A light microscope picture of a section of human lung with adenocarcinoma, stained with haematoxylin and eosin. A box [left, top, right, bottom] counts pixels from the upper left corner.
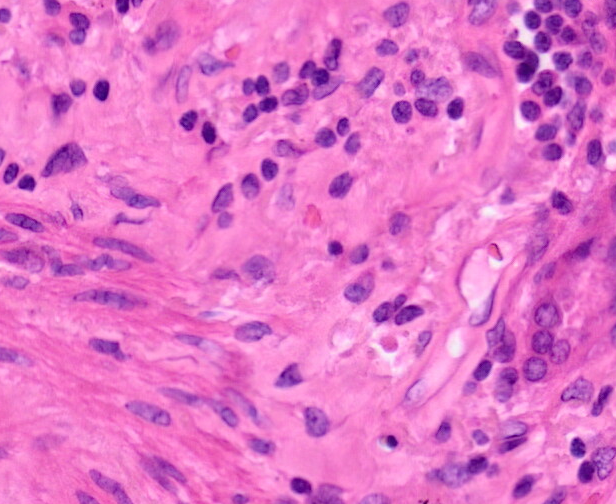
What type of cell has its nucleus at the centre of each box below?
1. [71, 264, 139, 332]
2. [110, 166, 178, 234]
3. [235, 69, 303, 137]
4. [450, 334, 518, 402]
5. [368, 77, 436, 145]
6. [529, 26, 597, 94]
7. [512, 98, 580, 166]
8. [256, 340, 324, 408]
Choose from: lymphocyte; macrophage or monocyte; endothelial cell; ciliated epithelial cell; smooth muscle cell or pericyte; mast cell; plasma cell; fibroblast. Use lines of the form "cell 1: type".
cell 1: smooth muscle cell or pericyte
cell 2: smooth muscle cell or pericyte
cell 3: lymphocyte
cell 4: lymphocyte
cell 5: lymphocyte
cell 6: lymphocyte
cell 7: lymphocyte
cell 8: fibroblast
